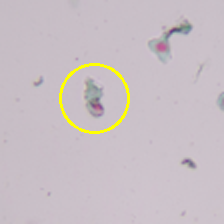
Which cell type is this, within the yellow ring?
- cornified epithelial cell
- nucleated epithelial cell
Within the ring is a nucleated epithelial cell.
